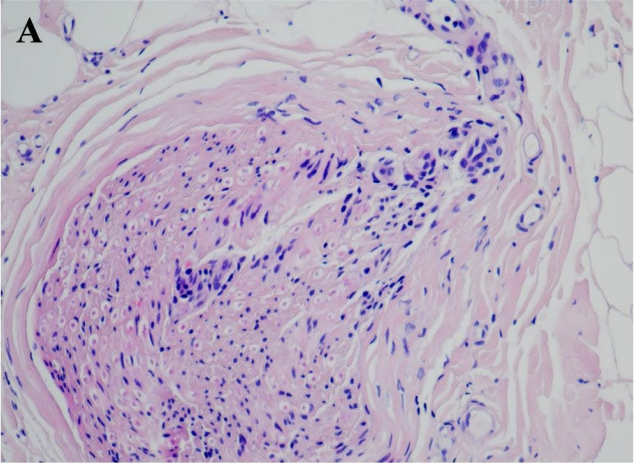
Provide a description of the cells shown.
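A rounded nerve bundle is surrounded by concentric layers of pale pink connective tissue, with fat cells at the upper left and right edges. Inside it lie many small round fibre profiles in cross-section. Between them are scattered and clustered small cells with dark round nuclei and little cytoplasm, densest toward the upper right and centre. These are lymphocytes infiltrating the nerve fascicle.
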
